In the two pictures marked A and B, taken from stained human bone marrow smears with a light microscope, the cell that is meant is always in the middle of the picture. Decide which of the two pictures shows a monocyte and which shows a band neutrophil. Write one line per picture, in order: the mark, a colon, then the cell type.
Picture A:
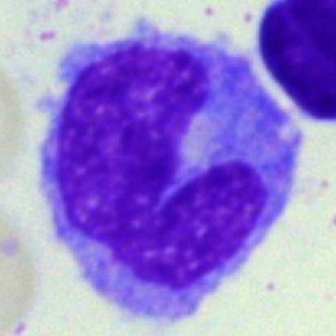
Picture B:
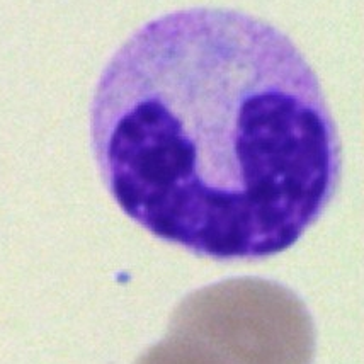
A: monocyte
B: band neutrophil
